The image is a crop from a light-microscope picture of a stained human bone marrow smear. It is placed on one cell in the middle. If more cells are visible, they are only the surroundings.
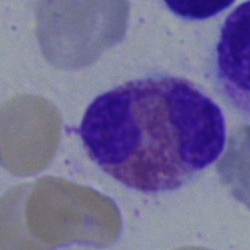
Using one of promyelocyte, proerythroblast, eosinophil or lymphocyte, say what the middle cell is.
eosinophil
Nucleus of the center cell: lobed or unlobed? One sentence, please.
One defining trait here is a nucleus of two or more segments.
